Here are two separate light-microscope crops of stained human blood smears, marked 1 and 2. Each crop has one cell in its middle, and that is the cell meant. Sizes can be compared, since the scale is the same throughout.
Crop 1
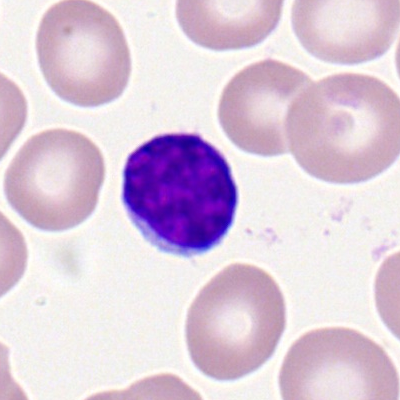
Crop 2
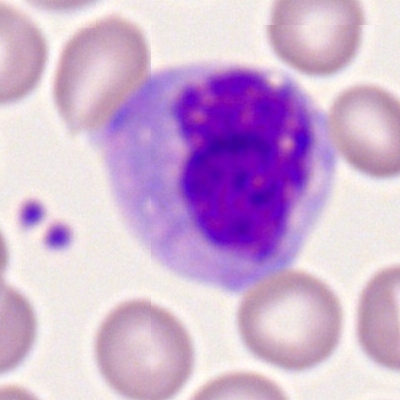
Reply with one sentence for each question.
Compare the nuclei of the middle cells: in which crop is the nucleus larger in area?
The nucleus in crop 2 is larger, with about 1.5 times the area of the one in crop 1.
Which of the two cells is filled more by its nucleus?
Of the two, the nucleus in crop 1 makes up the greater part of its cell.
